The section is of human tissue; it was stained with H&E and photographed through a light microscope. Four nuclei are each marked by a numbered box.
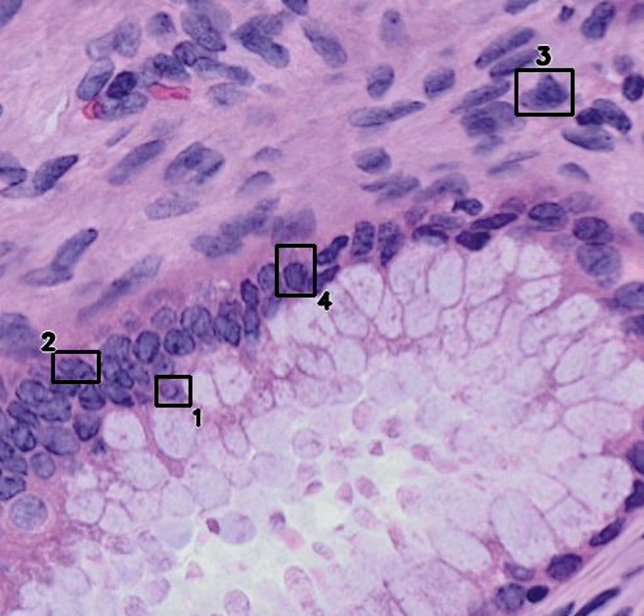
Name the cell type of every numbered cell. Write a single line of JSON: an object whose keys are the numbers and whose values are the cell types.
{"1": "secretory epithelial cell", "2": "secretory epithelial cell", "3": "fibroblast", "4": "secretory epithelial cell"}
